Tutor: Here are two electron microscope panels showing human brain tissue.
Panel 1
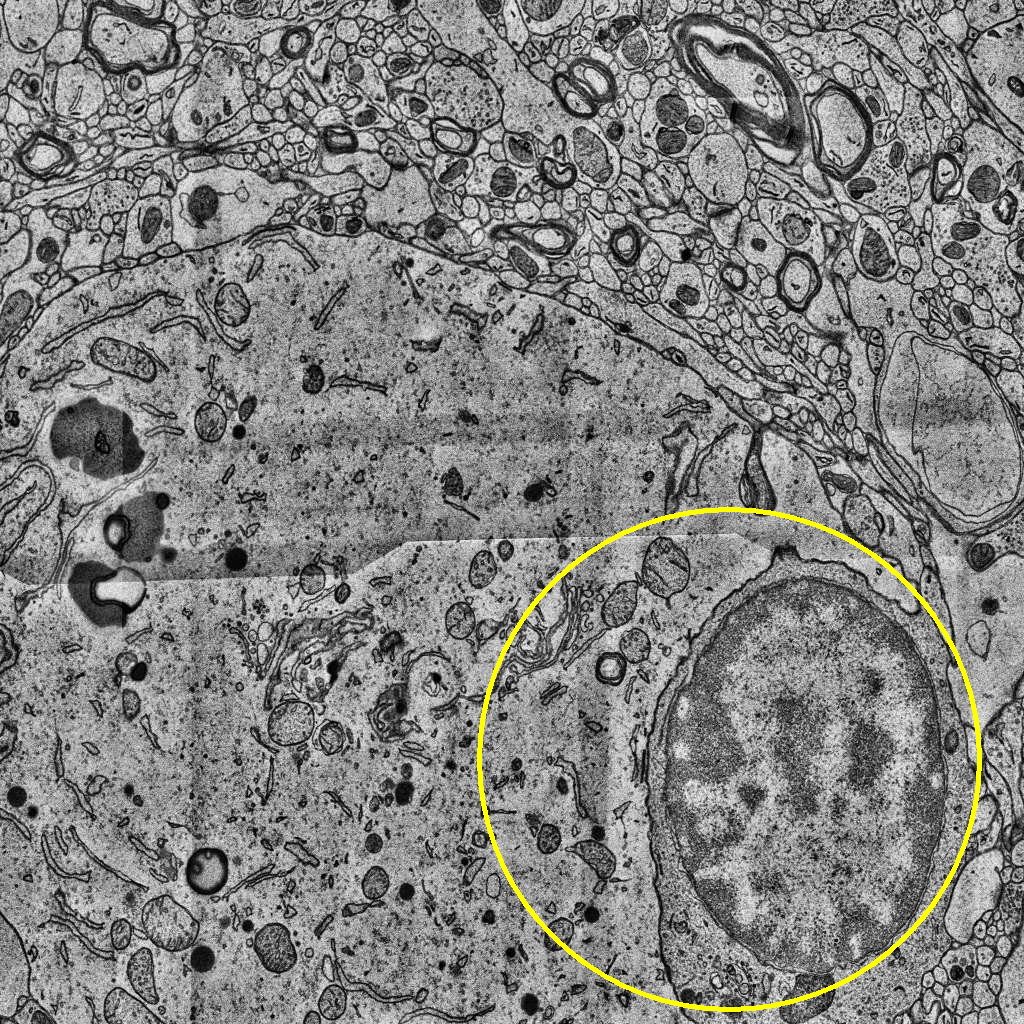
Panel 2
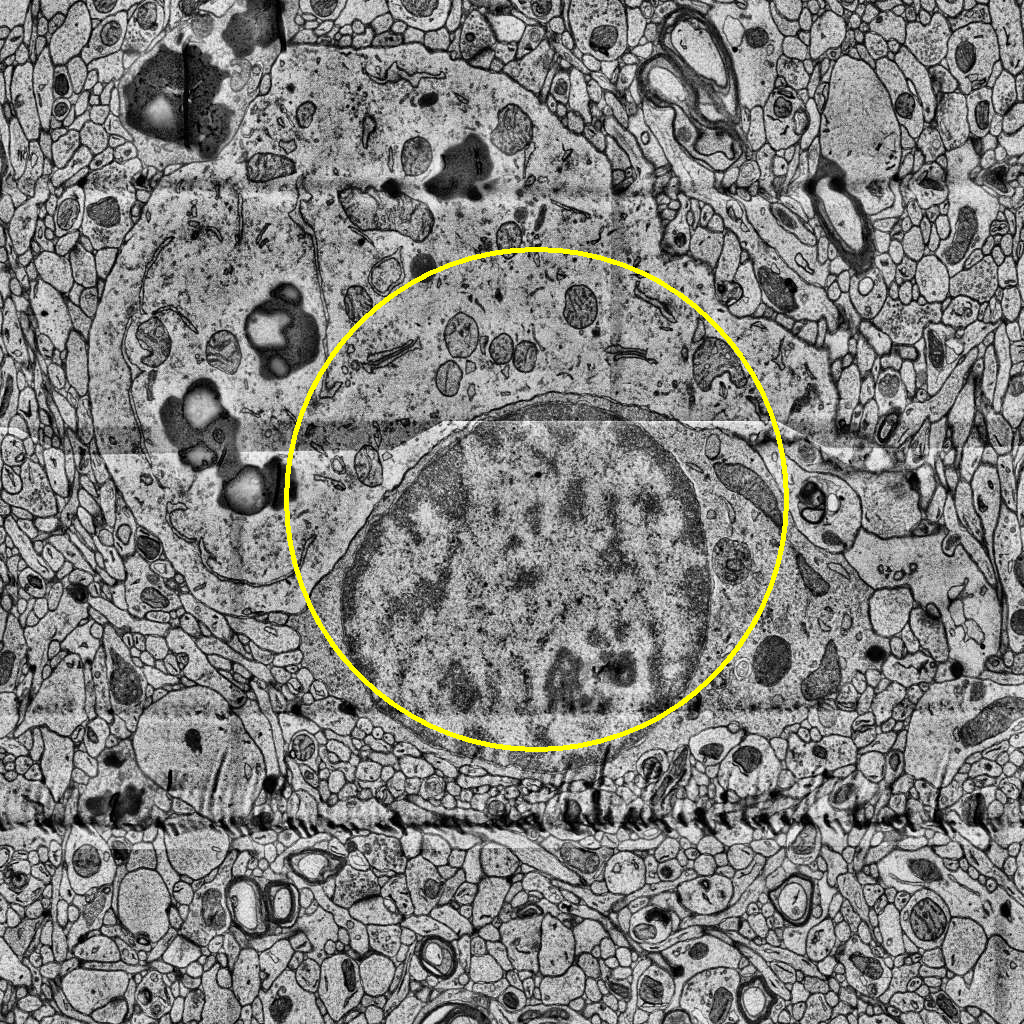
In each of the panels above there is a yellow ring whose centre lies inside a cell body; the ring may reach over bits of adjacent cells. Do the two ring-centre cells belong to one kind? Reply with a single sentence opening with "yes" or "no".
Yes, the two cells lying at the ring centres in the panels belong to one kind.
